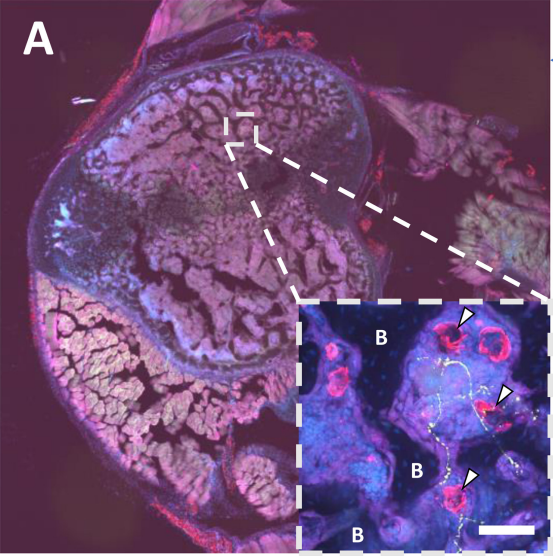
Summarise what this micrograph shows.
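At low magnification the section appears pink-purple, with a lattice of bone struts and marrow spaces. In the inset, dark areas of bone border islands of marrow whose many small nuclei stain blue. Very thin, beaded, branching green-white fibres course through the marrow and run immediately next to some of these red rings.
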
